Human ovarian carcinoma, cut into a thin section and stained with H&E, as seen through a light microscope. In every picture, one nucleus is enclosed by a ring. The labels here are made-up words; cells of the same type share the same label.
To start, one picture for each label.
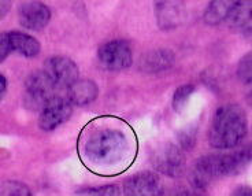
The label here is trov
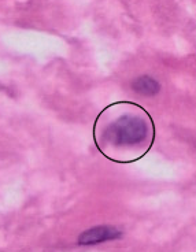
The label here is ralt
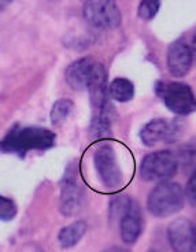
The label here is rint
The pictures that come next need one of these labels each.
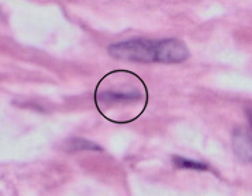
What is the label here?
ralt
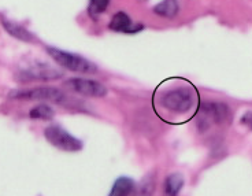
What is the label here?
rint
